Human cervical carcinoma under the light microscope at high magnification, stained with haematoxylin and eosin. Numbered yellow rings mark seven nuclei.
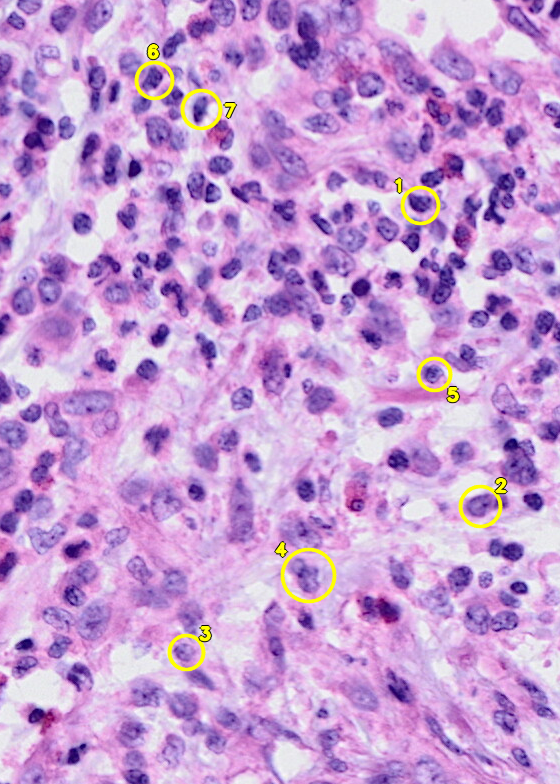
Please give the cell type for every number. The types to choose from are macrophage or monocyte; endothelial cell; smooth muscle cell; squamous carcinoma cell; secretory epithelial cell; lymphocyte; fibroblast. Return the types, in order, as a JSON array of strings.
["lymphocyte", "macrophage or monocyte", "macrophage or monocyte", "macrophage or monocyte", "lymphocyte", "lymphocyte", "lymphocyte"]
